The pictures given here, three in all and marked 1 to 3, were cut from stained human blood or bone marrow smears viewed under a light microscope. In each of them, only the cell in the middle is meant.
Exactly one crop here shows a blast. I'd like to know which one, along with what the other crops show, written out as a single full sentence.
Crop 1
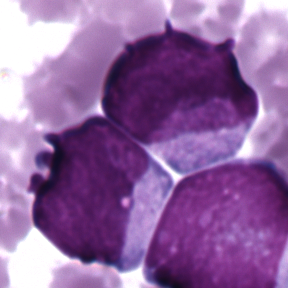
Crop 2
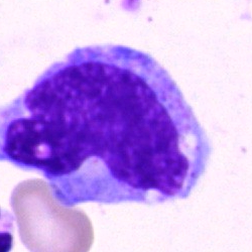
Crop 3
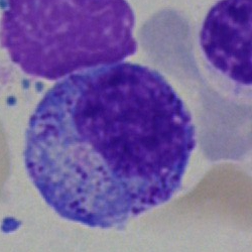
In crop 1, the cell at the centre is a blast, while crop 2 is a monocyte and crop 3 is a myelocyte.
